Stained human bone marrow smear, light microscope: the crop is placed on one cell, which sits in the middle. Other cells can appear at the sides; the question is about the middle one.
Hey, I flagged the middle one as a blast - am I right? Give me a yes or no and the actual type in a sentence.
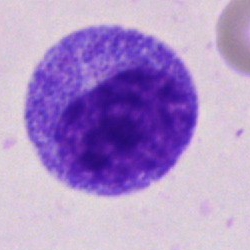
No, in the middle of the crop there is a myelocyte rather than a blast.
